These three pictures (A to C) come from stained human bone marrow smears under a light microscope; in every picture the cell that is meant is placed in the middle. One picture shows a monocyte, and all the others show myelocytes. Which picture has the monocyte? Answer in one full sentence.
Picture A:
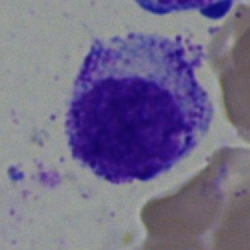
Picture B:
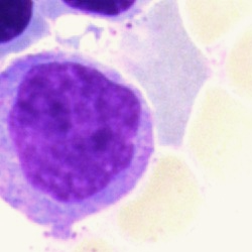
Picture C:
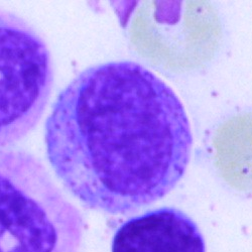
The picture with the monocyte is B.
